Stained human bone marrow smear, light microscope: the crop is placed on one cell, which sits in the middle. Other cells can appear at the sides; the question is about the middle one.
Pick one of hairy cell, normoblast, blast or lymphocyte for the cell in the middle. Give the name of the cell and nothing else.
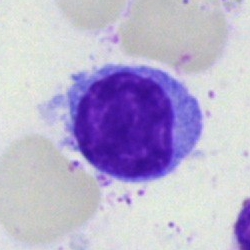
lymphocyte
